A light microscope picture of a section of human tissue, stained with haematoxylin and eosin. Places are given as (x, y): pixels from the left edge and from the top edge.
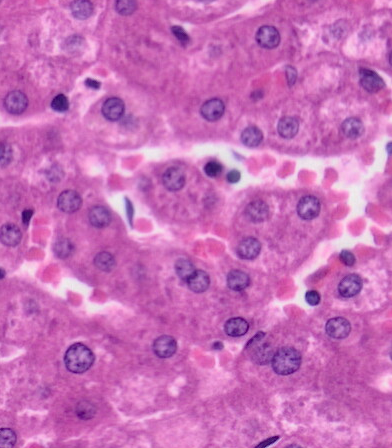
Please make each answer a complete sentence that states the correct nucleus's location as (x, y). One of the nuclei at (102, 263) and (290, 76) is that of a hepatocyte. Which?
Here the nucleus at (102, 263) is the one that belongs to a hepatocyte.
